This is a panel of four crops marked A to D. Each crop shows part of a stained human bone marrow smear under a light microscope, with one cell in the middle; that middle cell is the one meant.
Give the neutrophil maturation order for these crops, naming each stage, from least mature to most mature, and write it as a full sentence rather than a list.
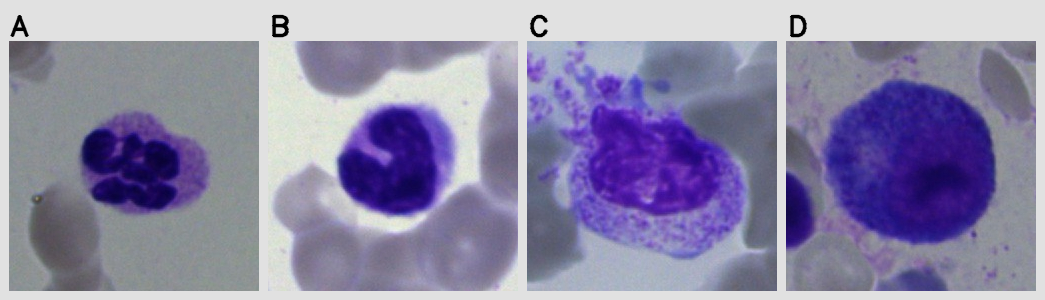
By increasing maturity, the order is crop D (a promyelocyte), crop C (a myelocyte), crop B (a band neutrophil) and crop A (a segmented neutrophil).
